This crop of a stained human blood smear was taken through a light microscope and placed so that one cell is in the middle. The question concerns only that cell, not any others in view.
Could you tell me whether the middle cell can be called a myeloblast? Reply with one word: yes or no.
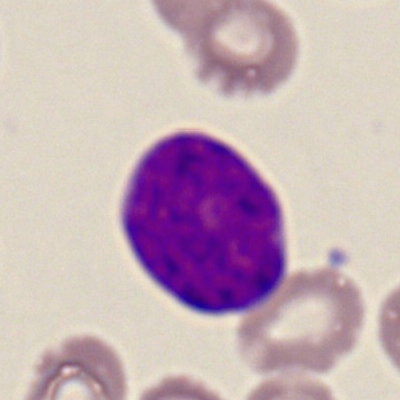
yes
